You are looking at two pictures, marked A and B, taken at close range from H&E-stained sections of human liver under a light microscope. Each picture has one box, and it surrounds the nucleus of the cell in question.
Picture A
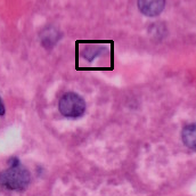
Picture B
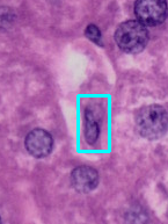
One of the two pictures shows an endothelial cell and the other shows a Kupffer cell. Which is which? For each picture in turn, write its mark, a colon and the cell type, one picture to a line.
A: endothelial cell
B: Kupffer cell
